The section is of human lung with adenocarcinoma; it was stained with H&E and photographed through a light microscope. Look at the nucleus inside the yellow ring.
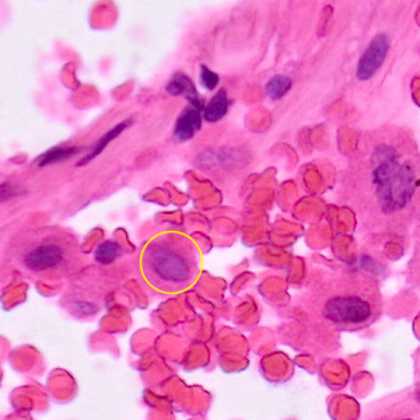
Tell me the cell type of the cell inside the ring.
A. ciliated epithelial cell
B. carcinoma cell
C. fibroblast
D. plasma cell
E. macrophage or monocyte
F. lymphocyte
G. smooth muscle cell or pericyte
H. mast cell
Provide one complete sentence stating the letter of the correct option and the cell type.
Option E is the right one; the cell inside the ring is a macrophage or monocyte.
